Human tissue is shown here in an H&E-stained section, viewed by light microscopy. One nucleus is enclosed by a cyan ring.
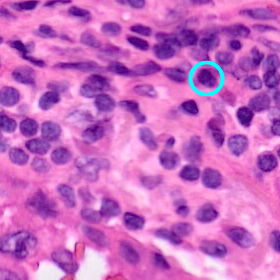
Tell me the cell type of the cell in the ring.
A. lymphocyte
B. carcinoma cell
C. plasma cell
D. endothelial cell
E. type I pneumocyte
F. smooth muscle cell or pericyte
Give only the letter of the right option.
C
